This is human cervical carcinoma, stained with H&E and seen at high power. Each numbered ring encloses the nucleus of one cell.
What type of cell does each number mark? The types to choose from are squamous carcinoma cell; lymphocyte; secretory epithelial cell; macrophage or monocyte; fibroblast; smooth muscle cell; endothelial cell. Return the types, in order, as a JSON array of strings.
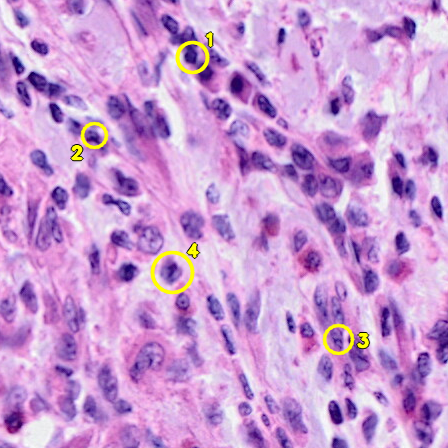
["lymphocyte", "lymphocyte", "endothelial cell", "lymphocyte"]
